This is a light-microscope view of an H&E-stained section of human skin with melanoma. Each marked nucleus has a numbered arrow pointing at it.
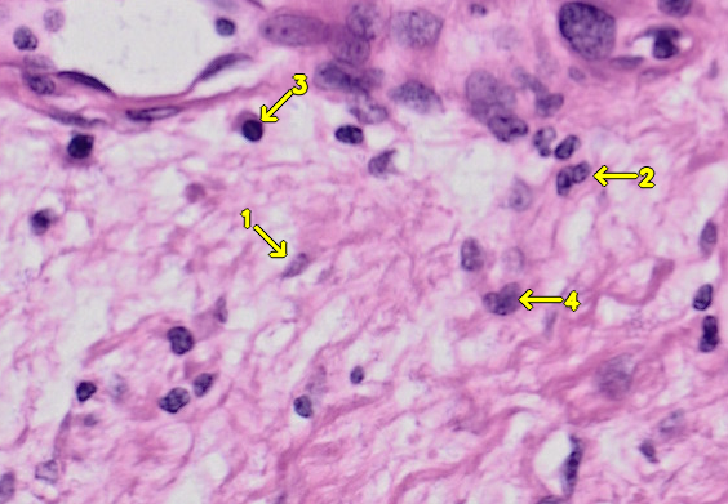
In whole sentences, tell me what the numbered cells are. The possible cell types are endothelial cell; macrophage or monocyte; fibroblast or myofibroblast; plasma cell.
Cell 1 is a fibroblast or myofibroblast, cell 2 is a macrophage or monocyte, cell 3 is a plasma cell and cell 4 is a macrophage or monocyte.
